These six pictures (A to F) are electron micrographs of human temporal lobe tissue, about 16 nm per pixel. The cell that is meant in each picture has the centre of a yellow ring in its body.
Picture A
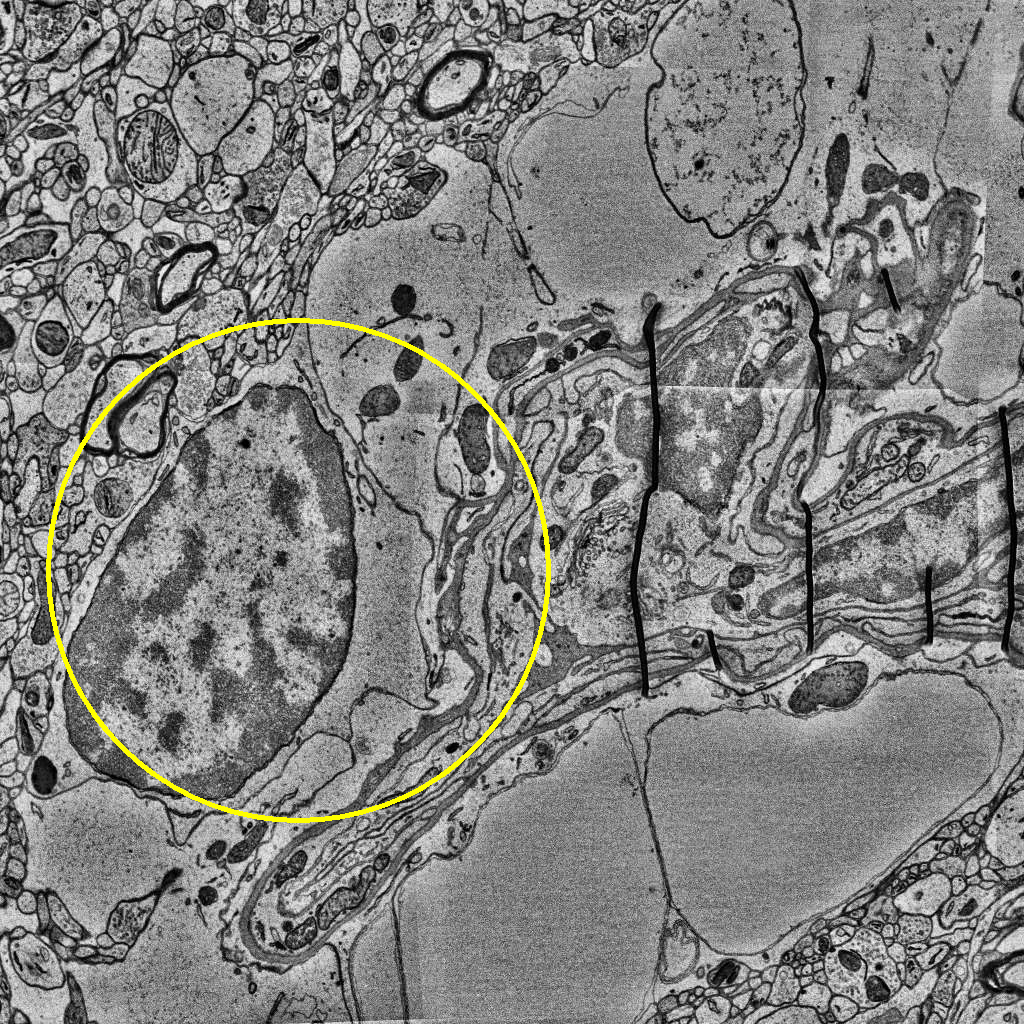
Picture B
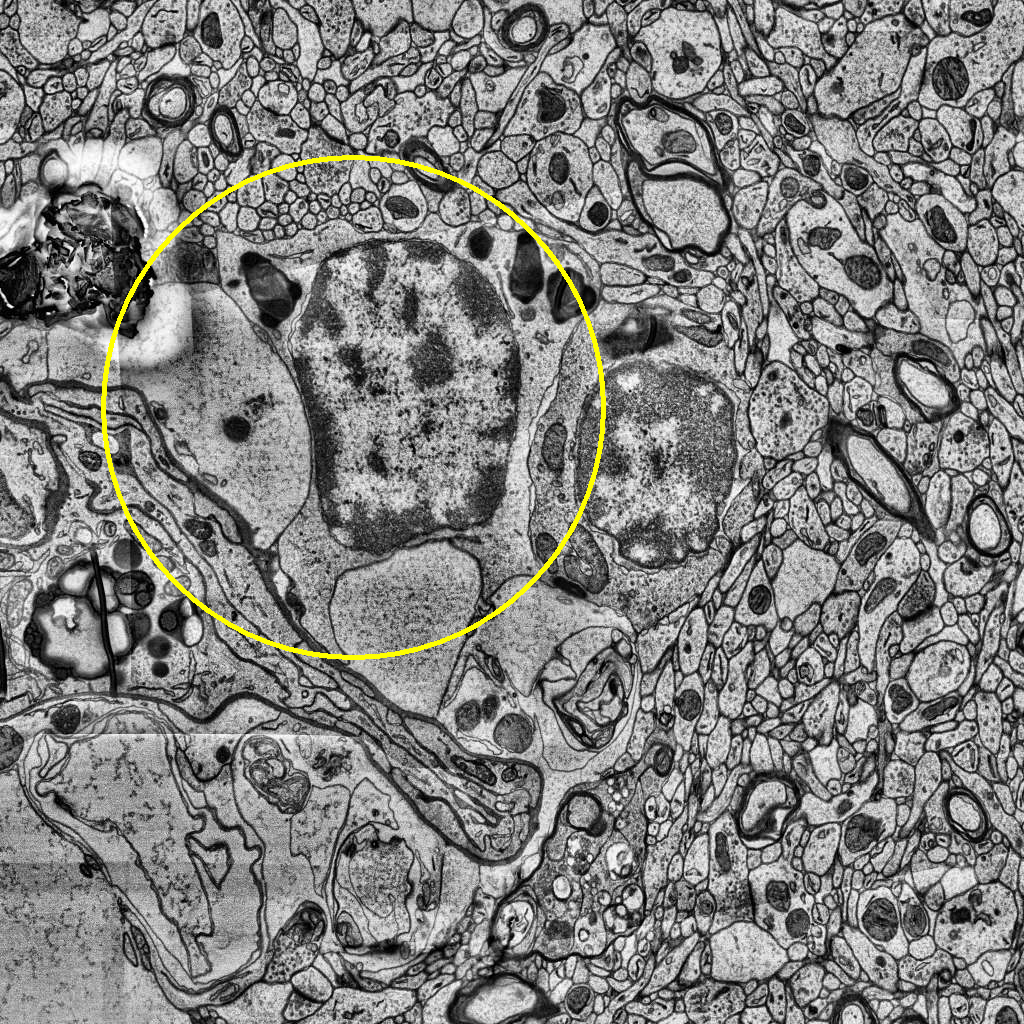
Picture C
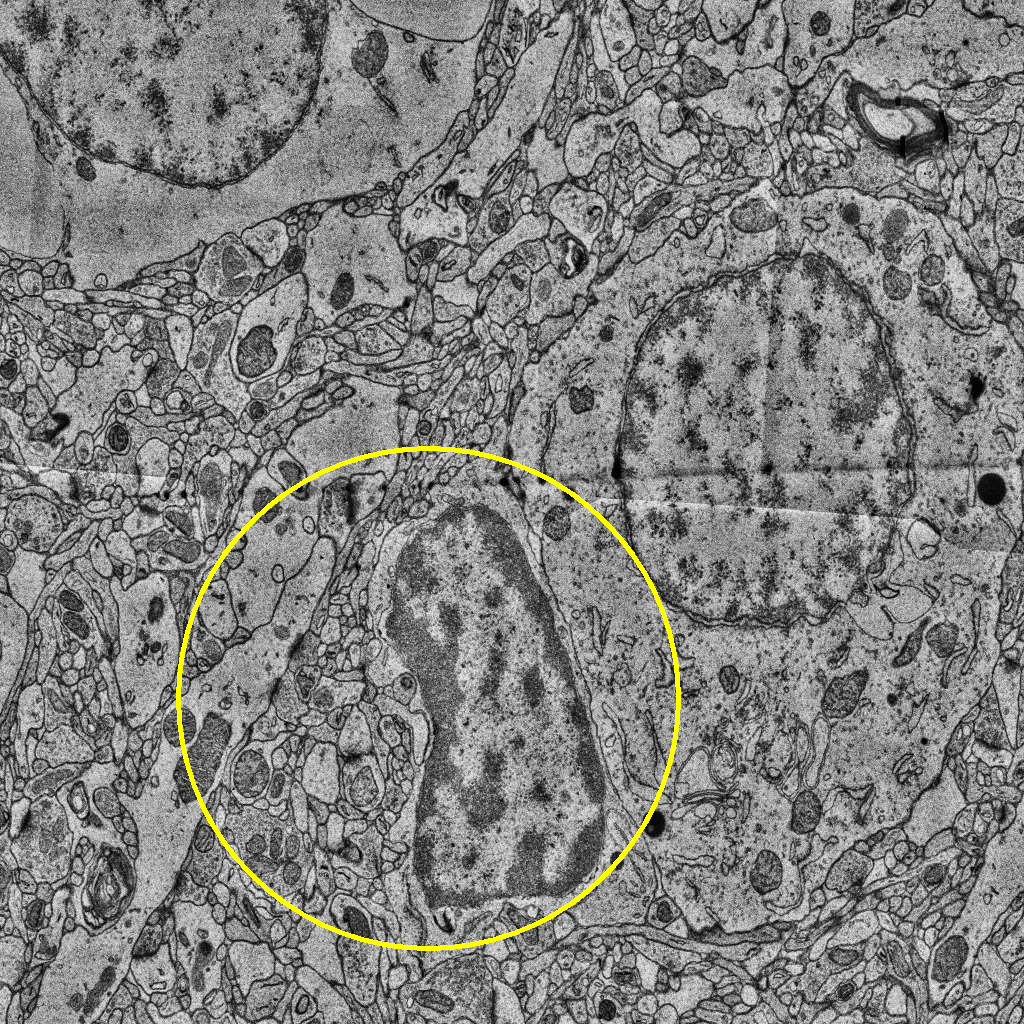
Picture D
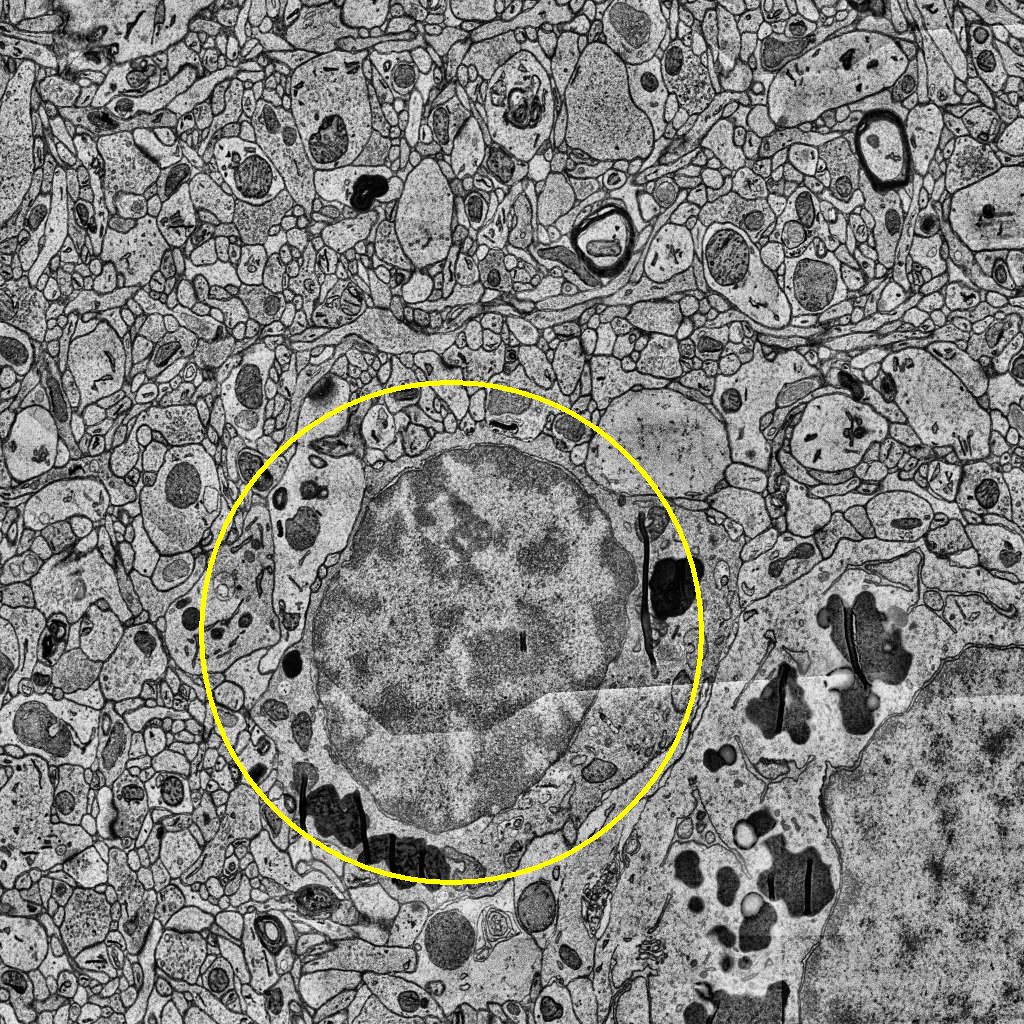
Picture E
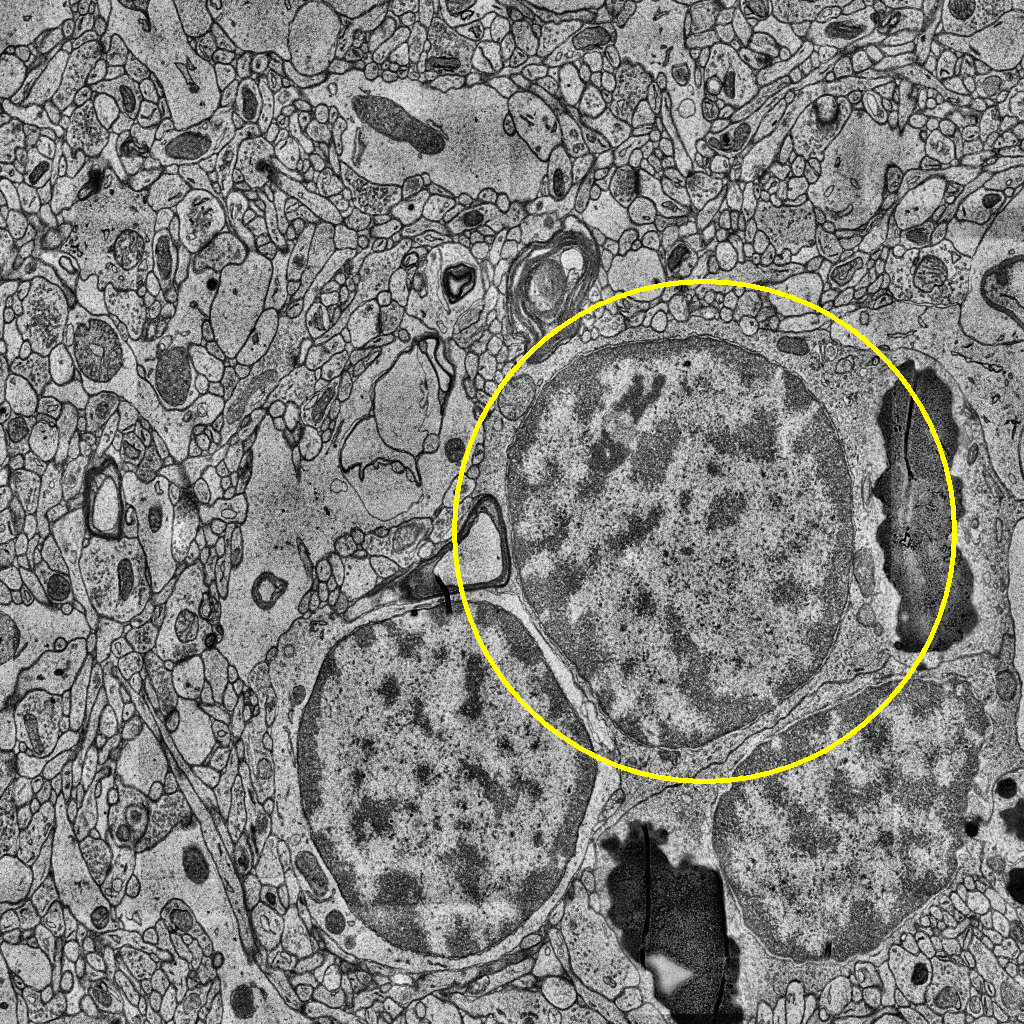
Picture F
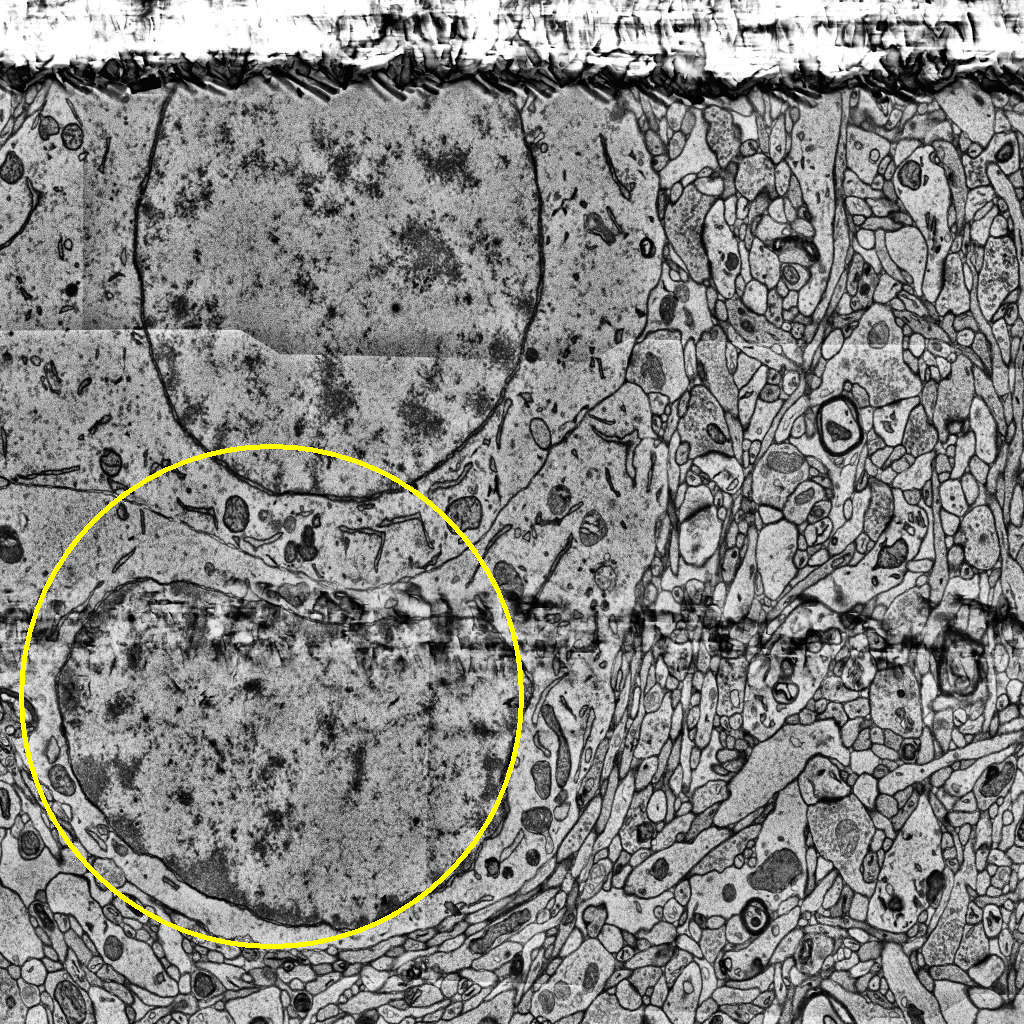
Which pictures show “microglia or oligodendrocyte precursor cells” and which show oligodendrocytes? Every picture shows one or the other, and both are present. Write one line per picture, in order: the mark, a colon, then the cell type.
A: microglia or oligodendrocyte precursor cell
B: microglia or oligodendrocyte precursor cell
C: microglia or oligodendrocyte precursor cell
D: oligodendrocyte
E: oligodendrocyte
F: microglia or oligodendrocyte precursor cell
